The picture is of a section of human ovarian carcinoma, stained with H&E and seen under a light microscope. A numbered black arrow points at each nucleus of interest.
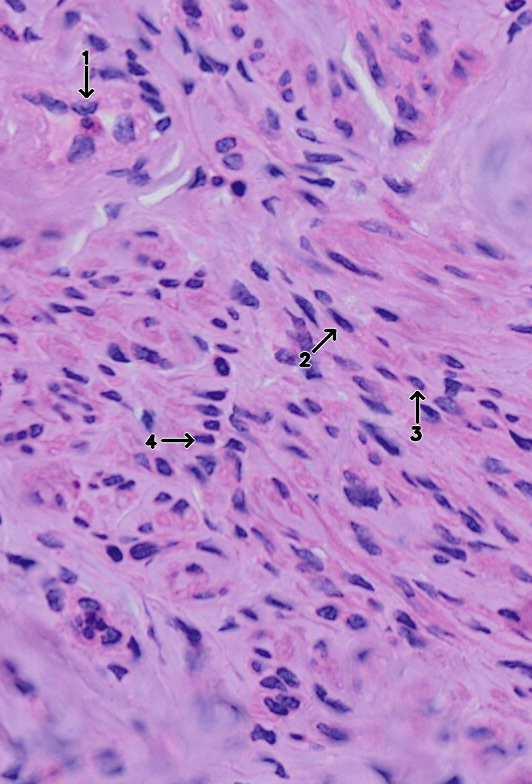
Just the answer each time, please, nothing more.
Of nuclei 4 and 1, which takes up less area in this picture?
4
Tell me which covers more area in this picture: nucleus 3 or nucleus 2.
2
